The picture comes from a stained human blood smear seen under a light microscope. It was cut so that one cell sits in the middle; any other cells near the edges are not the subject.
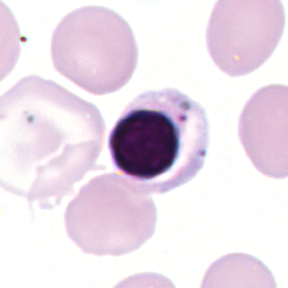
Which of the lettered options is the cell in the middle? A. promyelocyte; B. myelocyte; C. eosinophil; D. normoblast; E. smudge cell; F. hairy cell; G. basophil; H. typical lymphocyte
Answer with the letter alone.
D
